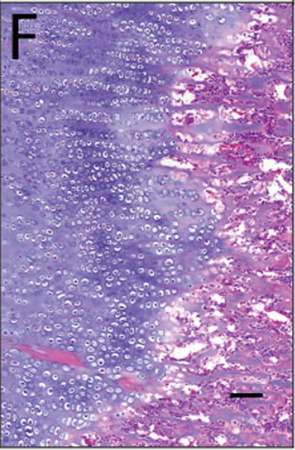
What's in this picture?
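This is growth plate cartilage with chondrocytes sitting in lacunae within a pale purple matrix, many of them lined up in columns and some enlarged with clear halos. On the right the cartilage gives way to pink-staining bone and marrow spaces, so a broad zone of retained cartilage cells lies against the bony front.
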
